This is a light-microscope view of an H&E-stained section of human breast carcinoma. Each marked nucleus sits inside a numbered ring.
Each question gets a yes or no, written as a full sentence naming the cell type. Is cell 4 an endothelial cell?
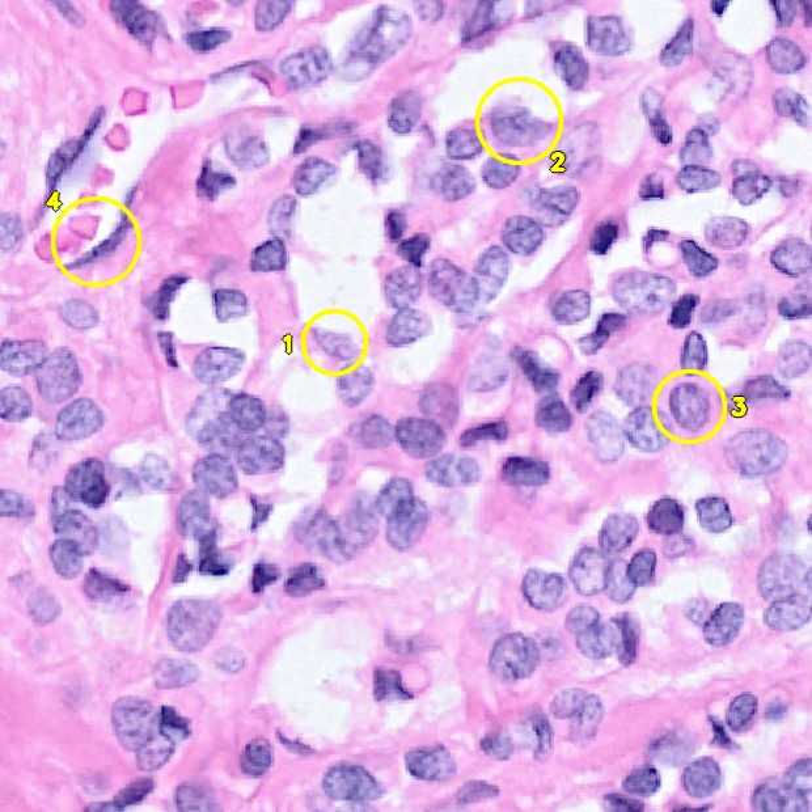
Yes, the cell whose number is 4 is an endothelial cell.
